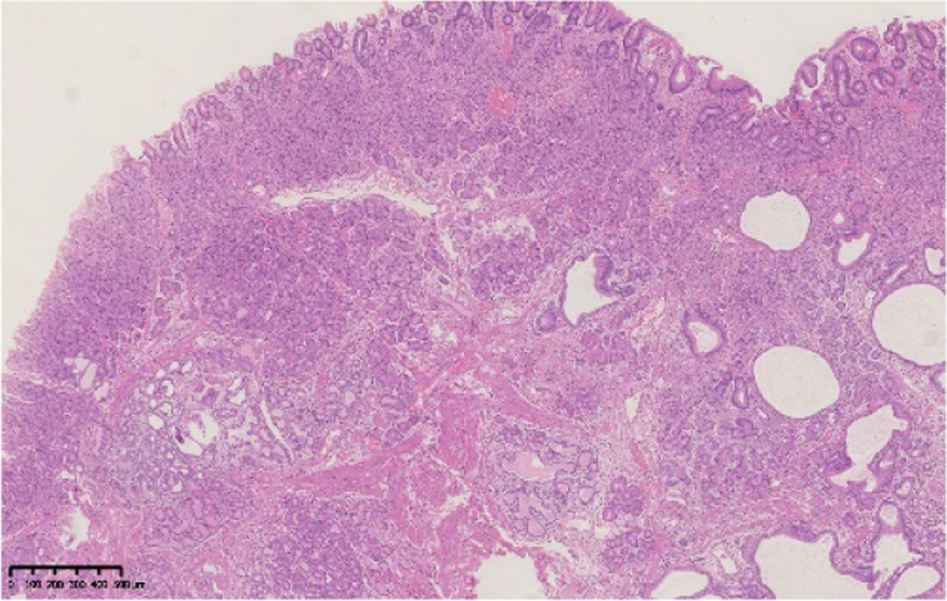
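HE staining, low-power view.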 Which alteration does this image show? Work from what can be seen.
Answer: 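Dilated glands in various sizes and shapes. Several large, empty, rounded and irregular spaces lined by a thin epithelium lie in the deeper part of the tissue. The spaces vary widely in size and outline. The dilated glands lie below the surface mucosa among pink fibromuscular strands.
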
